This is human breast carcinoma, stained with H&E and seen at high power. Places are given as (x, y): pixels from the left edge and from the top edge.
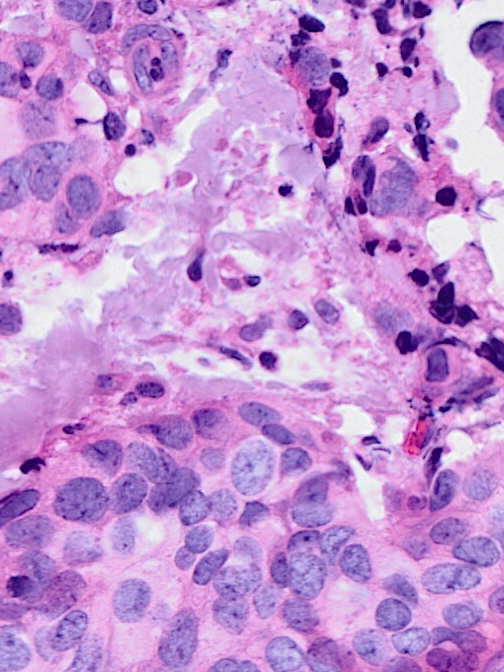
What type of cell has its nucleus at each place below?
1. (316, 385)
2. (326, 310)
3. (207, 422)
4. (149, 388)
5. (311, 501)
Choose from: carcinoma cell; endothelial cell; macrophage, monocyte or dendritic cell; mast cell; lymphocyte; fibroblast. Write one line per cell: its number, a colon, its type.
1: fibroblast
2: macrophage, monocyte or dendritic cell
3: carcinoma cell
4: mast cell
5: carcinoma cell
